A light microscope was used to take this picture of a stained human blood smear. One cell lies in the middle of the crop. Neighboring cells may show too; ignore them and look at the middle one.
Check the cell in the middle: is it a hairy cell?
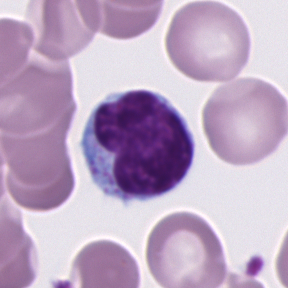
no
